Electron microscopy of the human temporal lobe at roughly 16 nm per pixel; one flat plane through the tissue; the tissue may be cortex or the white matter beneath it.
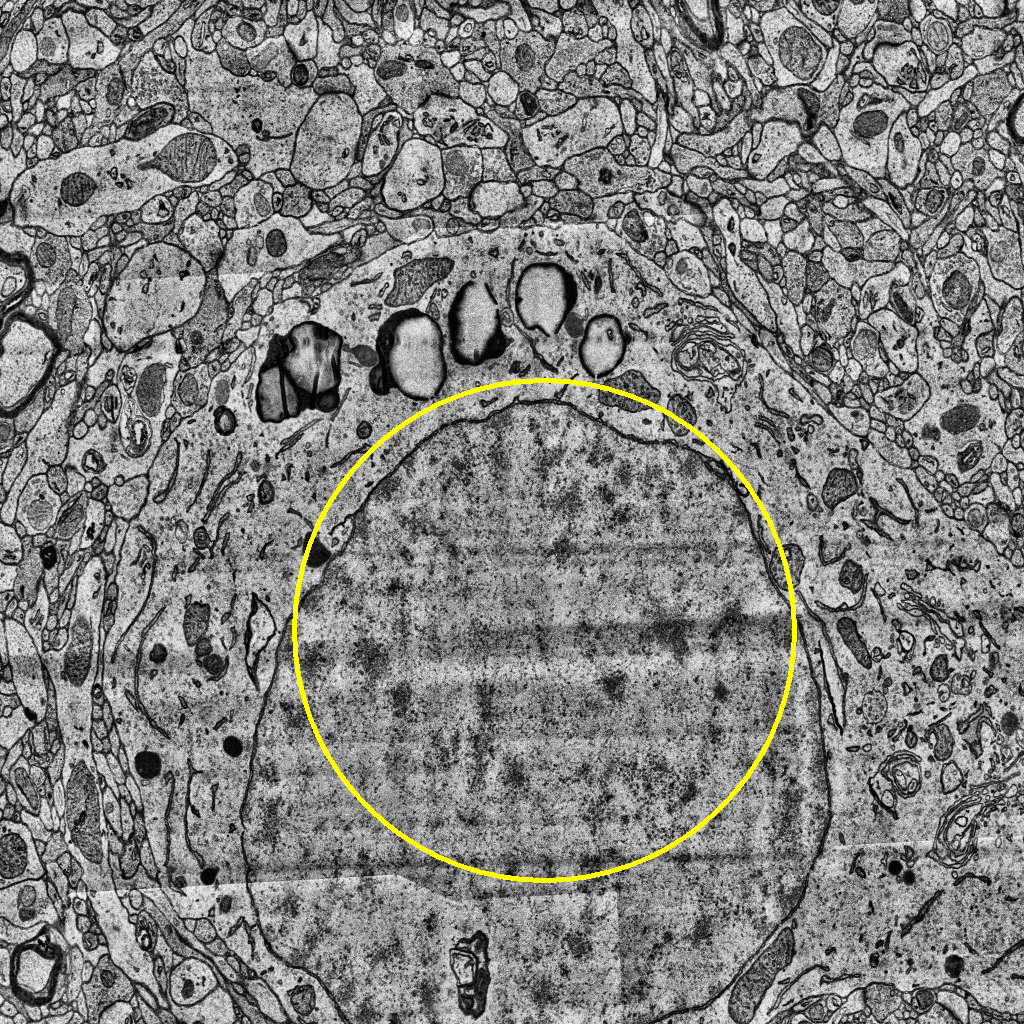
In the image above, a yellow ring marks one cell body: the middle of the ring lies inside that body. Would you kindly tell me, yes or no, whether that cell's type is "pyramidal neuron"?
yes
